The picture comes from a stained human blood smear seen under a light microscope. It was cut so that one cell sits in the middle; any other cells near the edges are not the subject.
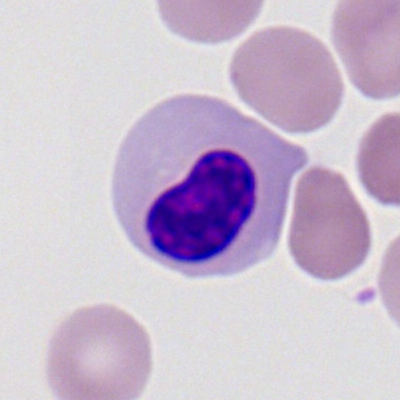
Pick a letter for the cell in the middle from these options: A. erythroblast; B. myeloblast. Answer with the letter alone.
A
